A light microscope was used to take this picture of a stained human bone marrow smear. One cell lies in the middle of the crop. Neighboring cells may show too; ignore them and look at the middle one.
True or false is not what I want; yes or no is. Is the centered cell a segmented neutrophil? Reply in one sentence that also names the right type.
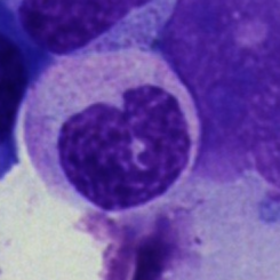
Yes, the cell at the middle is a segmented neutrophil.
